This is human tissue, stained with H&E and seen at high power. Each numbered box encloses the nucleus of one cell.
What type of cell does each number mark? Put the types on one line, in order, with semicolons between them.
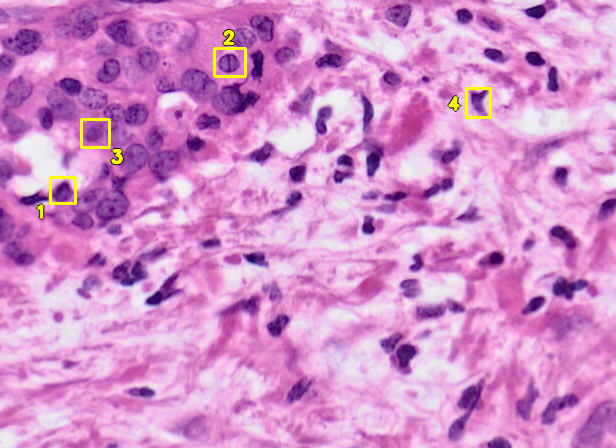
macrophage or monocyte; macrophage or monocyte; carcinoma cell; fibroblast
